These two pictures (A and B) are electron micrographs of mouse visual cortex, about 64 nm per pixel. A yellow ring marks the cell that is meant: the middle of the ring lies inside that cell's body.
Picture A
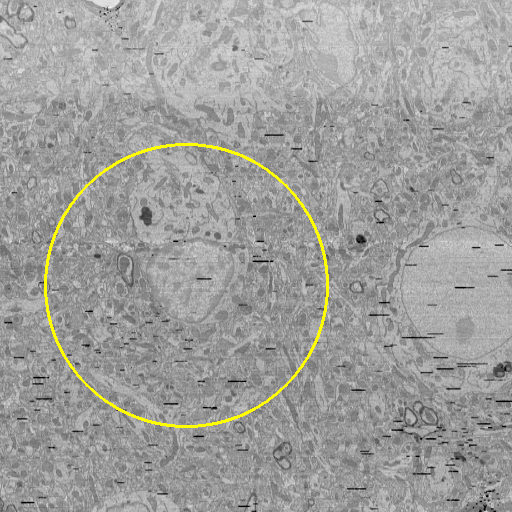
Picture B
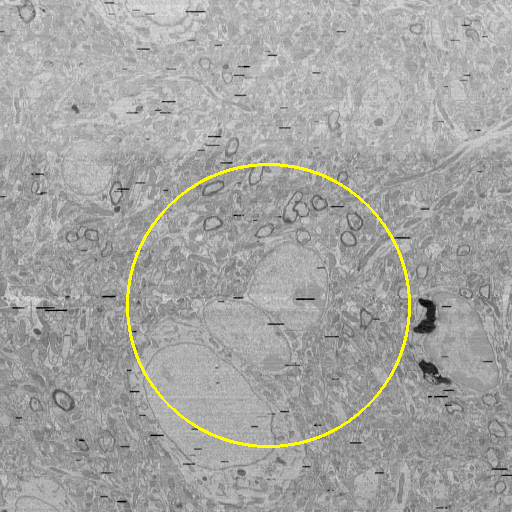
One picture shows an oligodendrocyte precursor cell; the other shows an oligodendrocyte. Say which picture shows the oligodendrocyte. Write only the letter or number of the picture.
A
